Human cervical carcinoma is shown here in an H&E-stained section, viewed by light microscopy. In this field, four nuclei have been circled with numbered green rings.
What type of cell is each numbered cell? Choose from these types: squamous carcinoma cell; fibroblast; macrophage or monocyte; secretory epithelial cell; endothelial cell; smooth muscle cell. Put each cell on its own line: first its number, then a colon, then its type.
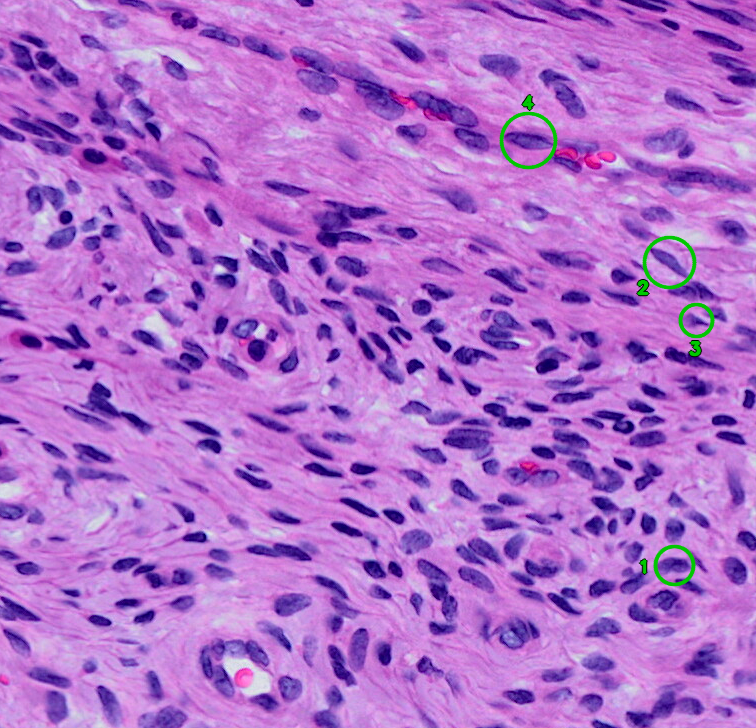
1: fibroblast
2: fibroblast
3: fibroblast
4: endothelial cell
